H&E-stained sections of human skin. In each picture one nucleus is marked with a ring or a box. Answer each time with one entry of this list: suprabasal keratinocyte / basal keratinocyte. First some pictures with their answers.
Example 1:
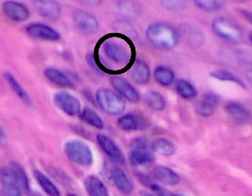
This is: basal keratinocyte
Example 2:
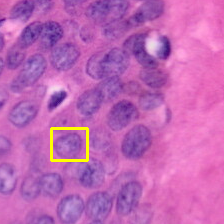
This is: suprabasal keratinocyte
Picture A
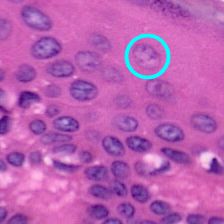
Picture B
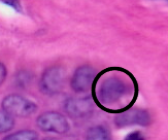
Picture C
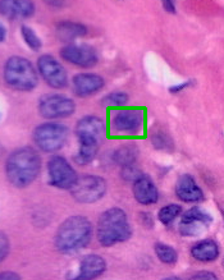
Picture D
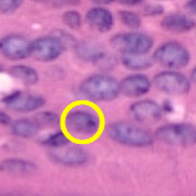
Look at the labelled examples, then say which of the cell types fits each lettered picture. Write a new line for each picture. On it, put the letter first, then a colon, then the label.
A: suprabasal keratinocyte
B: basal keratinocyte
C: basal keratinocyte
D: suprabasal keratinocyte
